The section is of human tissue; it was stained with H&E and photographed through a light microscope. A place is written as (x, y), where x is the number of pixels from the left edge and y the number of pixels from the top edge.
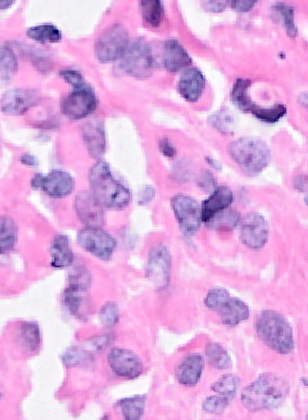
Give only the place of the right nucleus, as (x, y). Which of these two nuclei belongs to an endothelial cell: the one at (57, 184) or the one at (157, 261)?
(157, 261)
